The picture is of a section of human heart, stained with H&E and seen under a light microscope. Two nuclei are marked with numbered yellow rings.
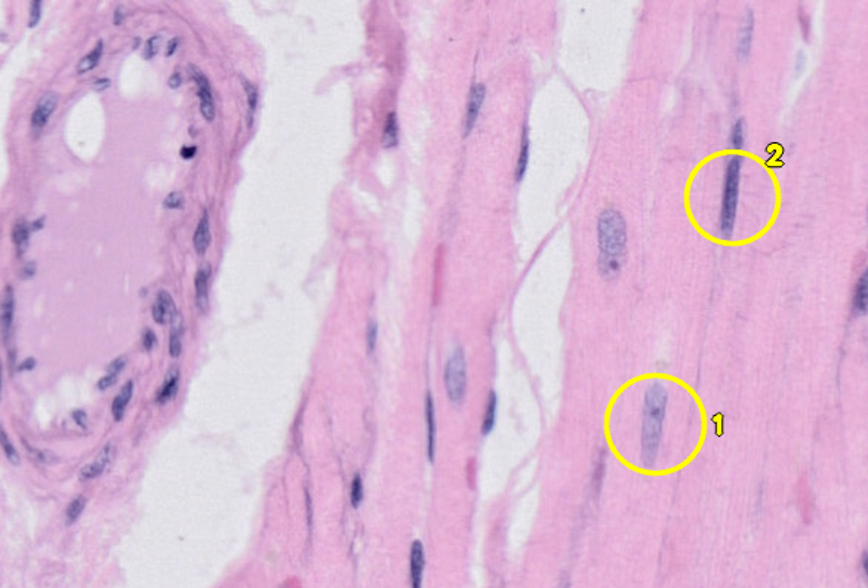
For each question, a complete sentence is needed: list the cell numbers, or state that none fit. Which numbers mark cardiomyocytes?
It is only cell 1 that is a cardiomyocyte among the numbered cells.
